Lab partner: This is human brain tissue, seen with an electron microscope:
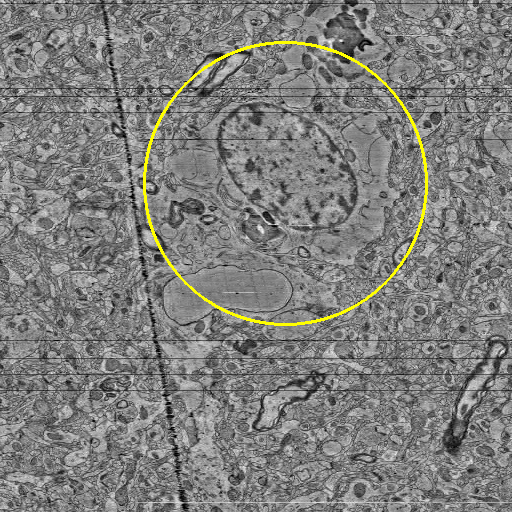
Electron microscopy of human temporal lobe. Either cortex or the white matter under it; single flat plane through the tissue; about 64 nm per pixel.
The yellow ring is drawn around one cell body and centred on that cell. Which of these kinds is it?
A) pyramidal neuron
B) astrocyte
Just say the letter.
B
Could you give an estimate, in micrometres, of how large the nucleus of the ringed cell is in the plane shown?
Roughly 10 by 6 micrometres; in this plane, clearly longer than it is wide.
